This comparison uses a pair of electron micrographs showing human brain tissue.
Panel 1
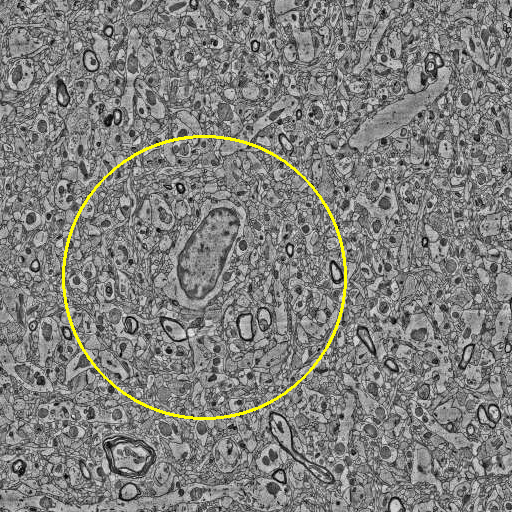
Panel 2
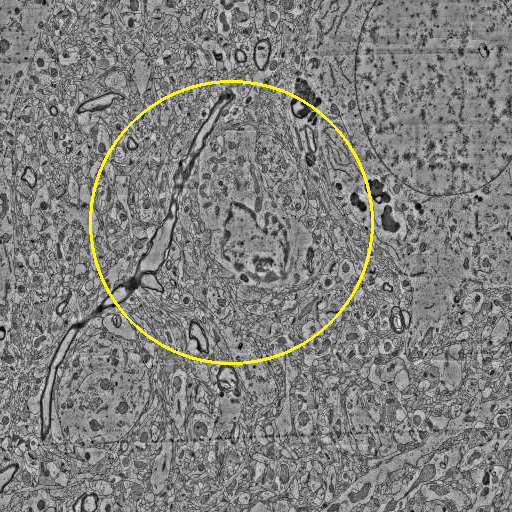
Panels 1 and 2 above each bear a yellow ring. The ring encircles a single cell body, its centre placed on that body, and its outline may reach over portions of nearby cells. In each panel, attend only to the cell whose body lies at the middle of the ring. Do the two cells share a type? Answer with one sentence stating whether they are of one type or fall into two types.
In Panel 1 and Panel 2, the cells at the centres of the rings are of one type.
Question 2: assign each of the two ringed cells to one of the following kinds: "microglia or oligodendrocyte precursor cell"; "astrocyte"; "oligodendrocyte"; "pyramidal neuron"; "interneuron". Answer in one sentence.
Each of the two rings surrounds a microglial cell or oligodendrocyte precursor cell.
